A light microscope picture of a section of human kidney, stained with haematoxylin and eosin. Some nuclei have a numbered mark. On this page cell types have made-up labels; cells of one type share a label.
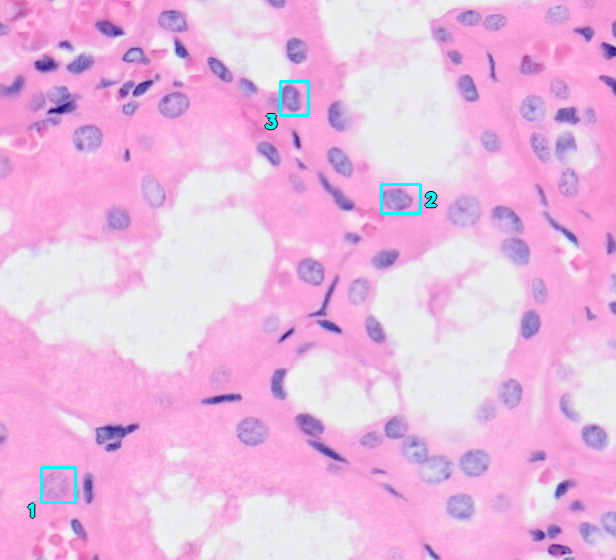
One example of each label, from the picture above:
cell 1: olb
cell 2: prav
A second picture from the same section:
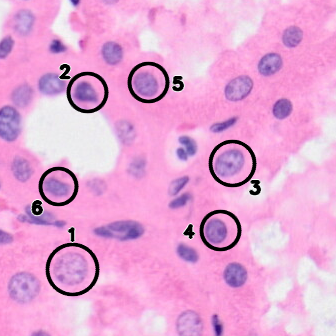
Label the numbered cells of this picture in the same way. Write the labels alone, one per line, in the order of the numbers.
olb
prav
olb
olb
olb
prav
